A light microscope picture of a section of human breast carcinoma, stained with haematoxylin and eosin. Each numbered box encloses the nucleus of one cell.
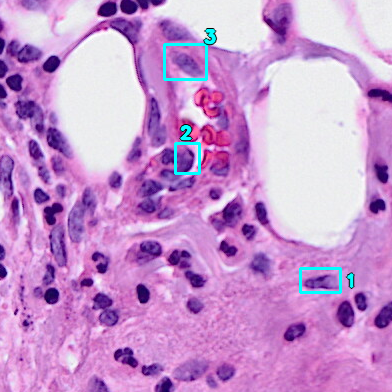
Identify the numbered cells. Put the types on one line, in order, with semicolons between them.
fibroblast; endothelial cell; endothelial cell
